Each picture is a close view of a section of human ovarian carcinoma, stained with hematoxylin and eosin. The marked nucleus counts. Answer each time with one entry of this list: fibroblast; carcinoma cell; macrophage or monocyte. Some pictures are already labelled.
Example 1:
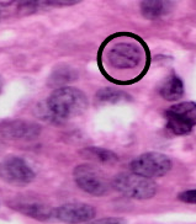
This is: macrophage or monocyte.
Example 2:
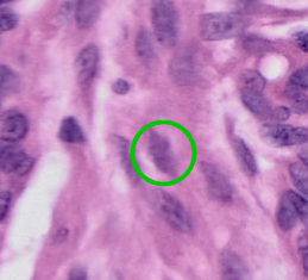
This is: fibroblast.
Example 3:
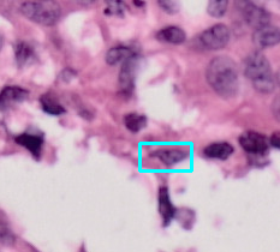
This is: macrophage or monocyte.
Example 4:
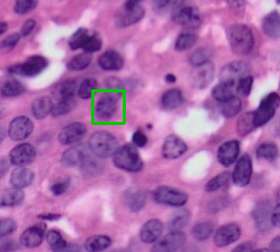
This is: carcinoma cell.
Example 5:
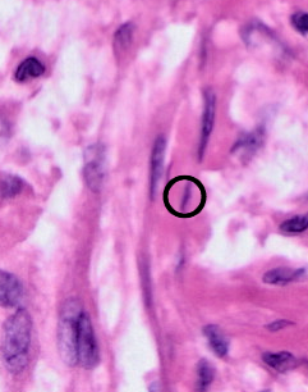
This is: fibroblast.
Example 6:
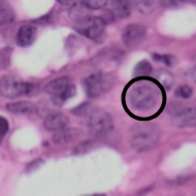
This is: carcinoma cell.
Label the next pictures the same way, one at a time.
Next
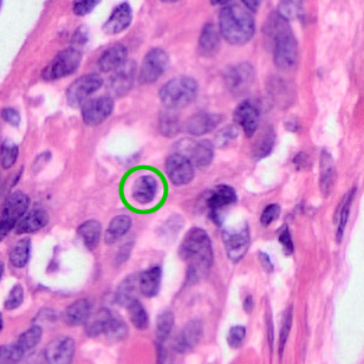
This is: macrophage or monocyte.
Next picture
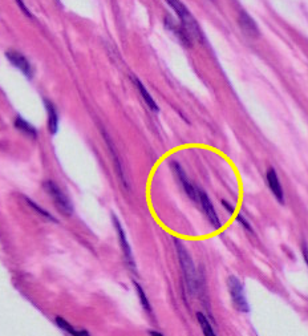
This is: fibroblast.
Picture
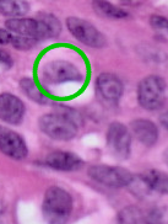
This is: macrophage or monocyte.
